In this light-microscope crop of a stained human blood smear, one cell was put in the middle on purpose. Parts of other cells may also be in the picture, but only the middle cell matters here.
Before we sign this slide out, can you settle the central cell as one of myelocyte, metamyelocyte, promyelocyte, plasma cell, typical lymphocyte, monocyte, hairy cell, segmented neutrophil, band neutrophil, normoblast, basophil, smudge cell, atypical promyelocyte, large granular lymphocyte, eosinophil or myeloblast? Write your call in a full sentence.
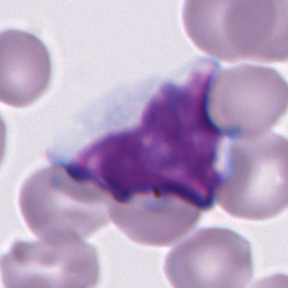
The cell shown in the center of this light-microscope crop is a myeloblast.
